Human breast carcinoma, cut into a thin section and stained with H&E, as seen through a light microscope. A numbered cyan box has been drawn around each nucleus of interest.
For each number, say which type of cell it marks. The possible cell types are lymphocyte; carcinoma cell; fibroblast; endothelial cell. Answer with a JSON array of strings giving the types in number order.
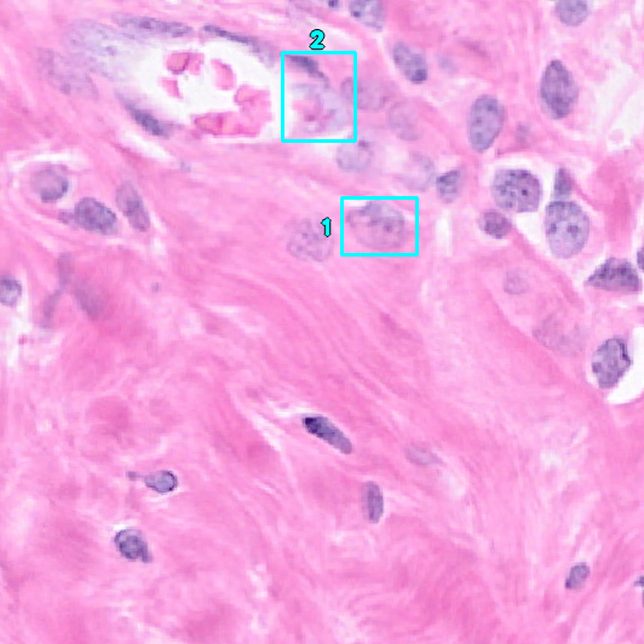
["fibroblast", "endothelial cell"]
